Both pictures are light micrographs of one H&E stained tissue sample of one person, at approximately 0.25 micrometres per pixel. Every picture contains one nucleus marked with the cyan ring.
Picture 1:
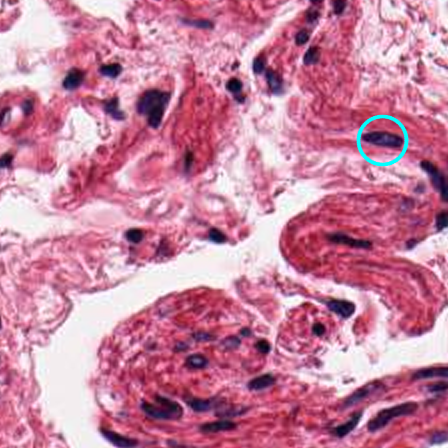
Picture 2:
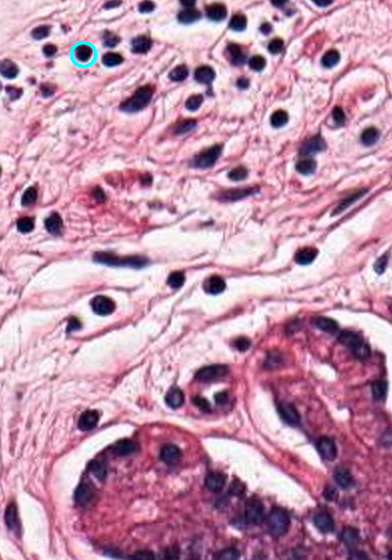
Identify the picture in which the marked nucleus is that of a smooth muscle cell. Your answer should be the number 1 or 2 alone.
1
